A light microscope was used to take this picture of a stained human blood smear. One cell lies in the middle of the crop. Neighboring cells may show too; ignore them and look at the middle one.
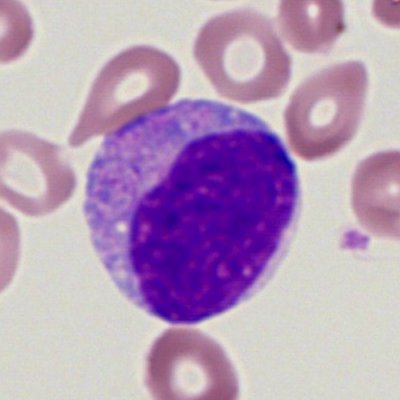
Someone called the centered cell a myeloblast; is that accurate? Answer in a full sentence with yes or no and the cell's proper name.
Yes, the centered cell in this field is a myeloblast.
